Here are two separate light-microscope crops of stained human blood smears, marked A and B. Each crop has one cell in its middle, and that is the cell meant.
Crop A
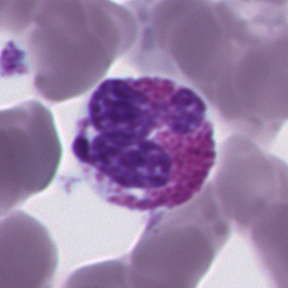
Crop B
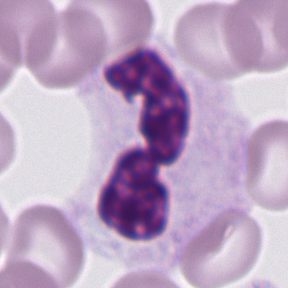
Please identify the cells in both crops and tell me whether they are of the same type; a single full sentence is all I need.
No, at the centre of crop A is an eosinophil, and at the centre of crop B is a segmented neutrophil.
